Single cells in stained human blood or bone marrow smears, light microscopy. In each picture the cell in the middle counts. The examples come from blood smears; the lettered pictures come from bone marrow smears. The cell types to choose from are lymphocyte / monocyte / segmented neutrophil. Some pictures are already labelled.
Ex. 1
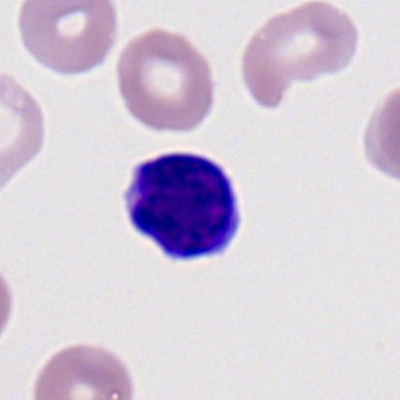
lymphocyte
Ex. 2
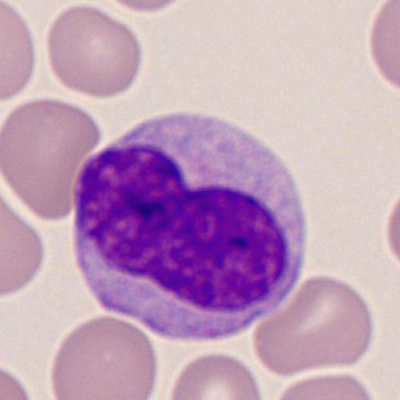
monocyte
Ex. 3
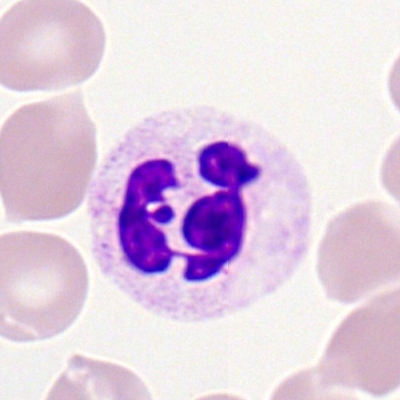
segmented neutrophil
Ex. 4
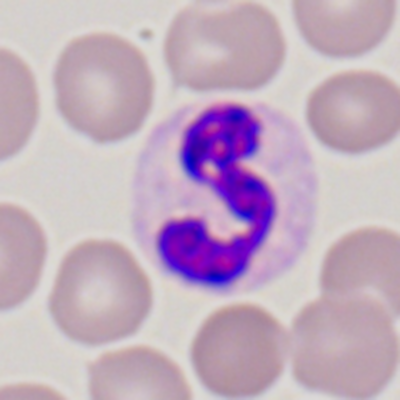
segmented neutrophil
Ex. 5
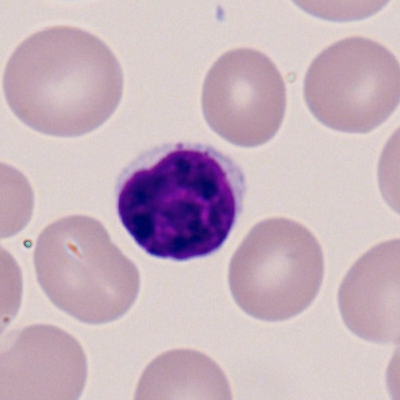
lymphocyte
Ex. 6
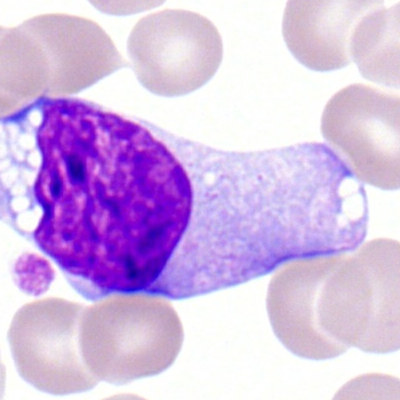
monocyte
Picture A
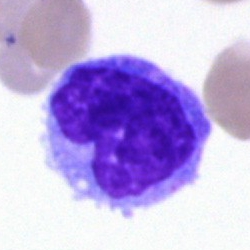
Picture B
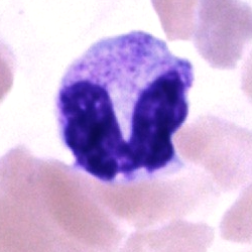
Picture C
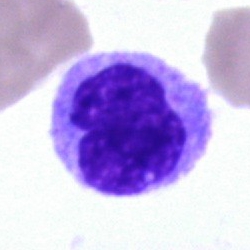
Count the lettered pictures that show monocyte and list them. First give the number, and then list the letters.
Count: 2 (A, C)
